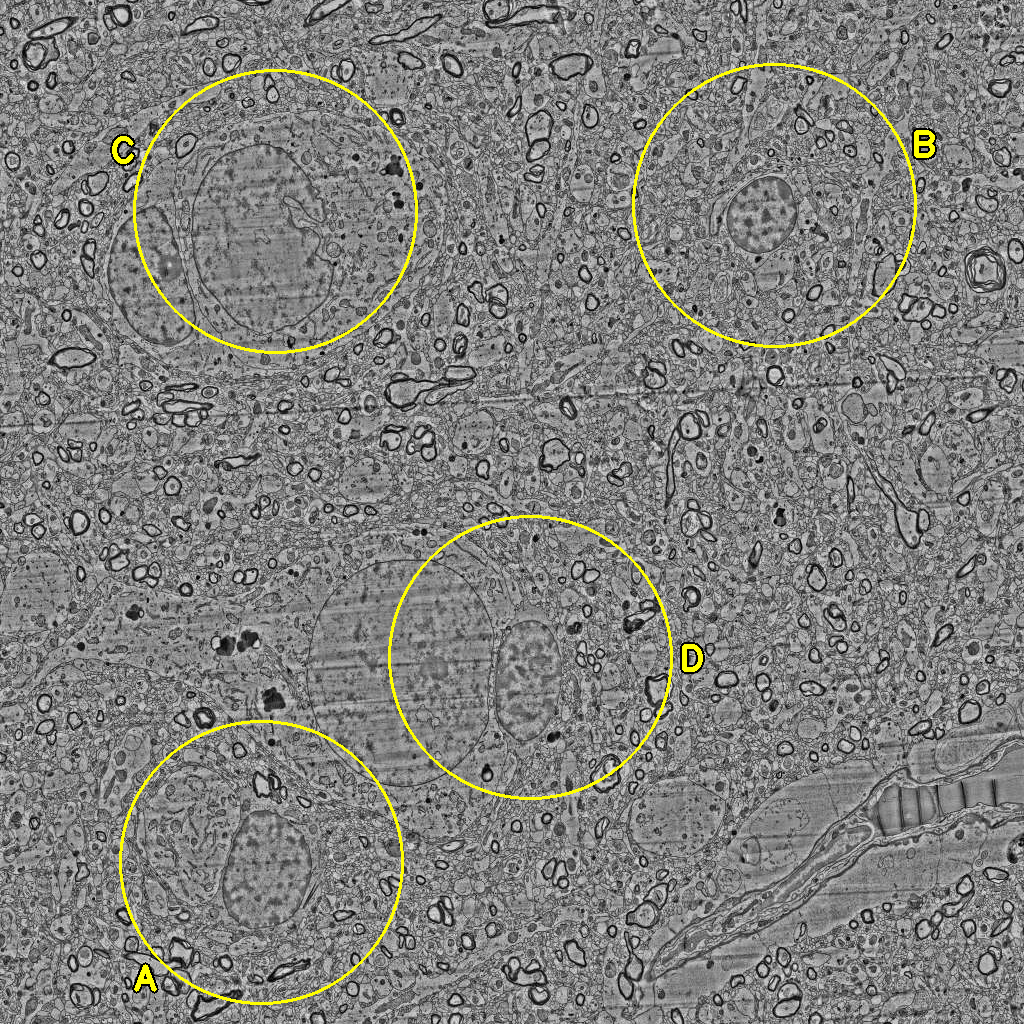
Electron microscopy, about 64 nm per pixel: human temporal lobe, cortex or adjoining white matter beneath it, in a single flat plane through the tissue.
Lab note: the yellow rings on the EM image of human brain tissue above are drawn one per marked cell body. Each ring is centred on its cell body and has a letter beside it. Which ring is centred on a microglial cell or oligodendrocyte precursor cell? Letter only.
B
